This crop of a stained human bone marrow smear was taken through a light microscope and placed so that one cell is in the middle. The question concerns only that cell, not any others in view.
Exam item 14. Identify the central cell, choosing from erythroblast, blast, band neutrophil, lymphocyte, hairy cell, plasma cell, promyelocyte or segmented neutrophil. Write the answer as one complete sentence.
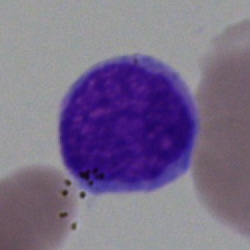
At the crop's centre, the cell is a blast.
